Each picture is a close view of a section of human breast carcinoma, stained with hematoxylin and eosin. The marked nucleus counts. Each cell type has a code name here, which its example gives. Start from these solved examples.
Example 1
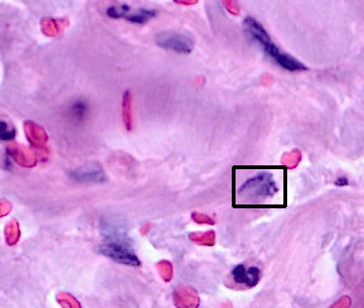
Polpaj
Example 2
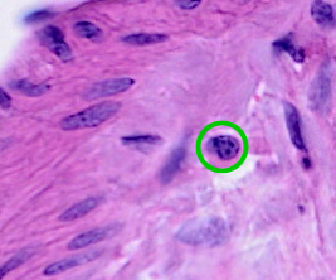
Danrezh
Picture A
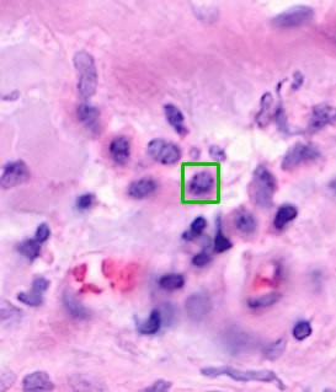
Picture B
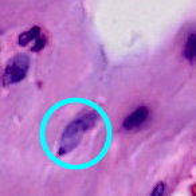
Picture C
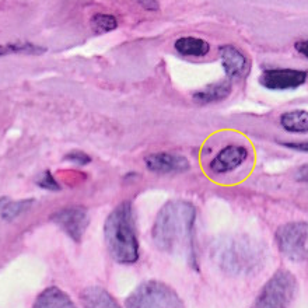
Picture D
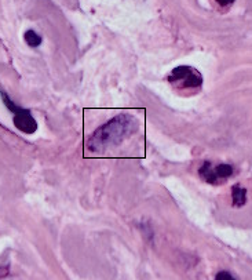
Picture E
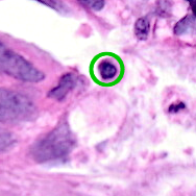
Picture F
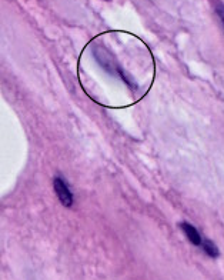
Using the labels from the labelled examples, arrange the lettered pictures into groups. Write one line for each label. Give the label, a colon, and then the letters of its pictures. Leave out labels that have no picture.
Polpaj: B, D, F
Danrezh: A, C, E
